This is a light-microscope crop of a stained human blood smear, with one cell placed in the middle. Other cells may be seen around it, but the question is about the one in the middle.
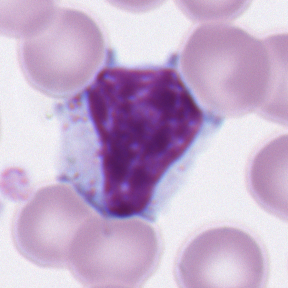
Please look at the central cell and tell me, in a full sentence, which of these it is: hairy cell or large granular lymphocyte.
The cell at the centre of the field is a large granular lymphocyte.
